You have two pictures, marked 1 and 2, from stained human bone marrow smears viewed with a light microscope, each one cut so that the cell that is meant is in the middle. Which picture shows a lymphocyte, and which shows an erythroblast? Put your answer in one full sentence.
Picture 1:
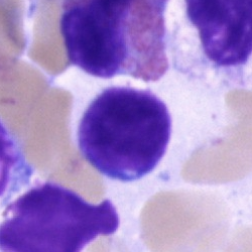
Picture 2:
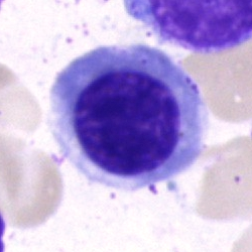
Picture 2 shows an erythroblast, while picture 1 shows a lymphocyte.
